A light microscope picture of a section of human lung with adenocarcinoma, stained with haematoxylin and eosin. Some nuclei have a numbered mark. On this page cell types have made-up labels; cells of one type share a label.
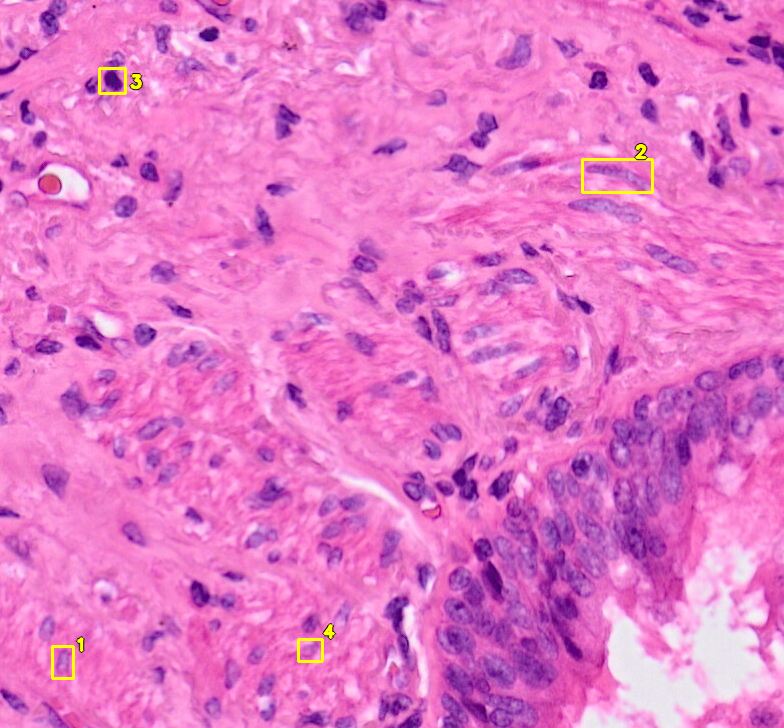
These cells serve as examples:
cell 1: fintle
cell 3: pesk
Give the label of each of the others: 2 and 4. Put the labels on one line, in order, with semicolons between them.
fintle; fintle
